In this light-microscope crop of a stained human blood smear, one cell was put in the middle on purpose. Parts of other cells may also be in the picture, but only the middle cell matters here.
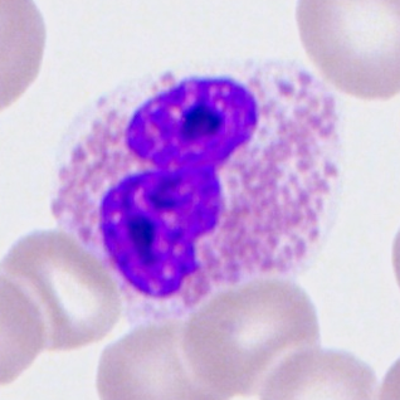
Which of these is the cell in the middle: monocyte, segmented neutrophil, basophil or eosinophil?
eosinophil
